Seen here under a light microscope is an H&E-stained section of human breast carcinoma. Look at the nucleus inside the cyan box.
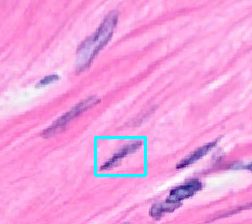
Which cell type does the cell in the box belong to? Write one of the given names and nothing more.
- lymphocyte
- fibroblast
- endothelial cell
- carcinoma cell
fibroblast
